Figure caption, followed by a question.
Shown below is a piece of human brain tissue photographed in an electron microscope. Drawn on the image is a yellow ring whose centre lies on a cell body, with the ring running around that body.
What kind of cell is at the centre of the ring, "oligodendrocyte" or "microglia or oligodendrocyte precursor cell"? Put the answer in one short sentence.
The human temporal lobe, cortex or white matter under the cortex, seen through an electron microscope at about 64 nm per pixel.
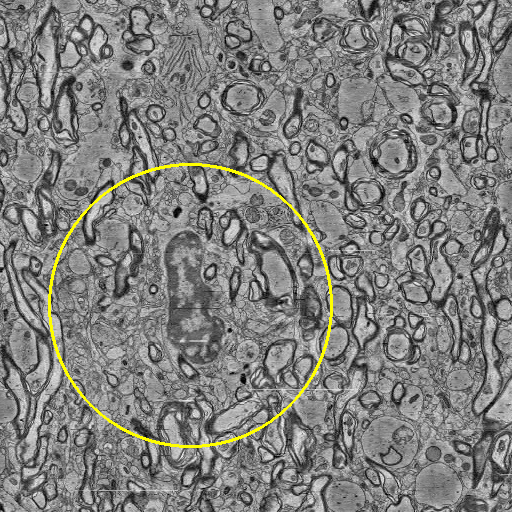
The ring marks the cell body of a microglial cell or oligodendrocyte precursor cell.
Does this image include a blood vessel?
No, no vessel shows anywhere in the image.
